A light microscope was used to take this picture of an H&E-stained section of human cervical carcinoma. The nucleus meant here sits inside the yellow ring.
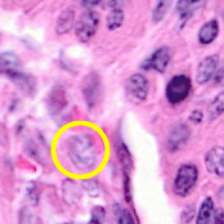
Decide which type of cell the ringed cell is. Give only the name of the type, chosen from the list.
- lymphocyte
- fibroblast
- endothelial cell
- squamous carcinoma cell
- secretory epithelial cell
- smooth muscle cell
endothelial cell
